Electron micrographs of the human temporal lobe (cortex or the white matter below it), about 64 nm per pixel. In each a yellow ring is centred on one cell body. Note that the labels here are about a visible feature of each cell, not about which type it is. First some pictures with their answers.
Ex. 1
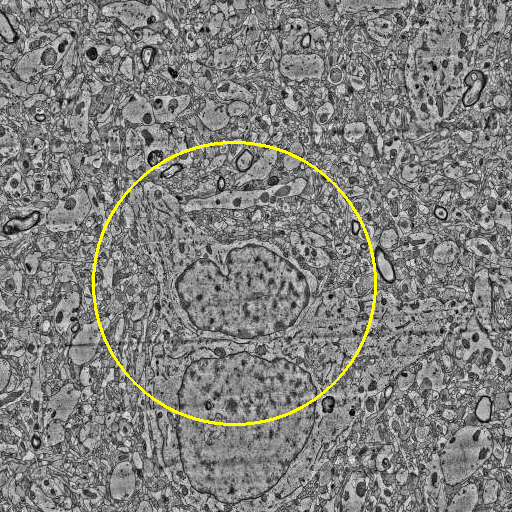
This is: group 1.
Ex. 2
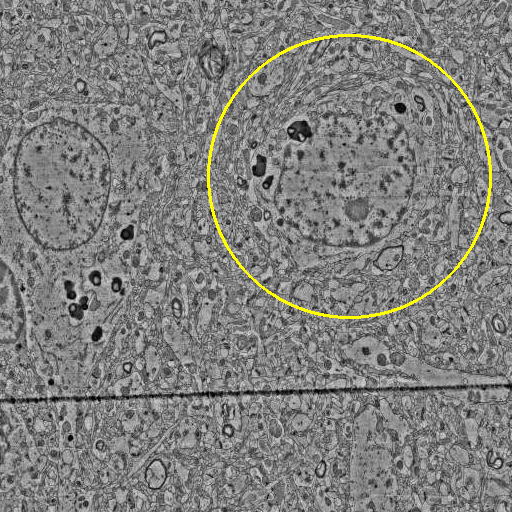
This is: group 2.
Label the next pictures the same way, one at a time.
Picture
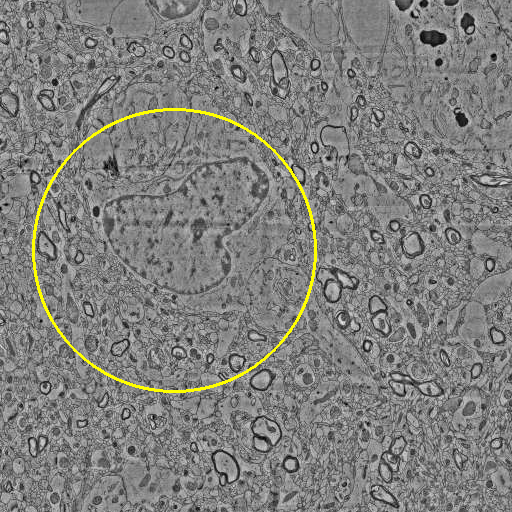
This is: group 1.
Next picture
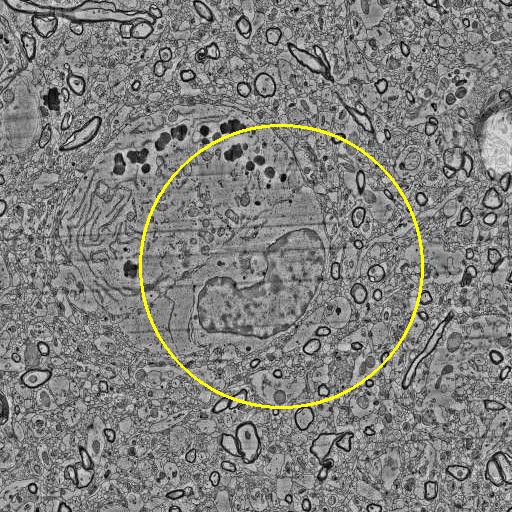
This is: group 1.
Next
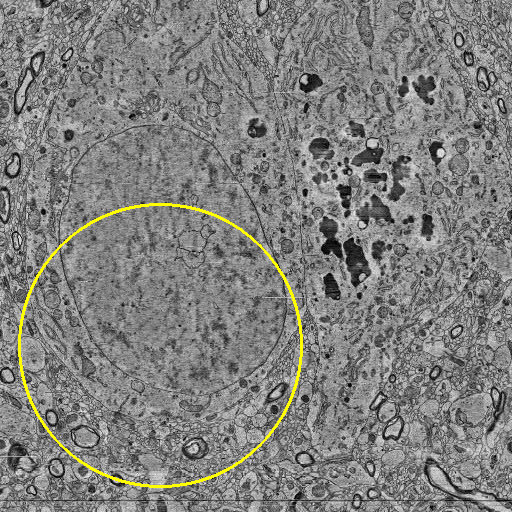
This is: group 2.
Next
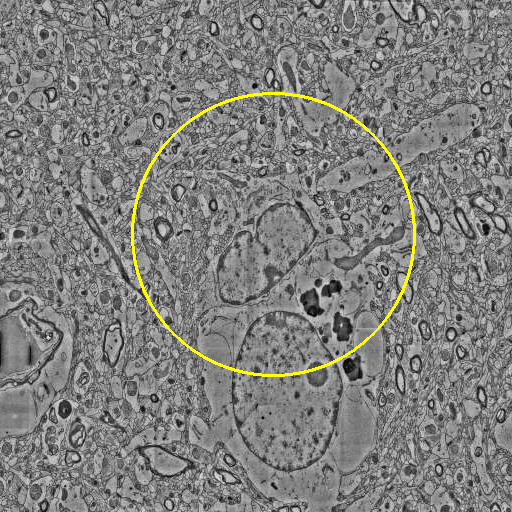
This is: group 1.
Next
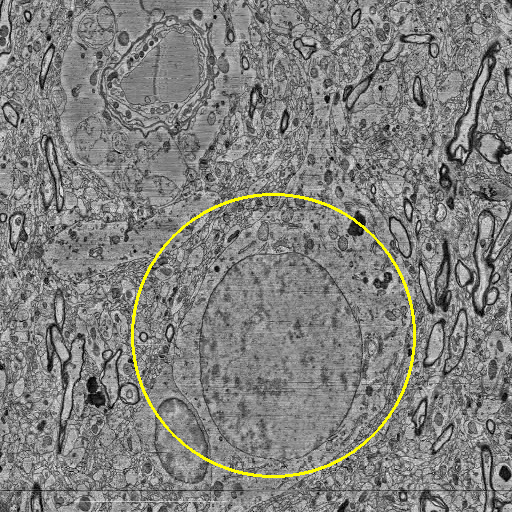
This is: group 2.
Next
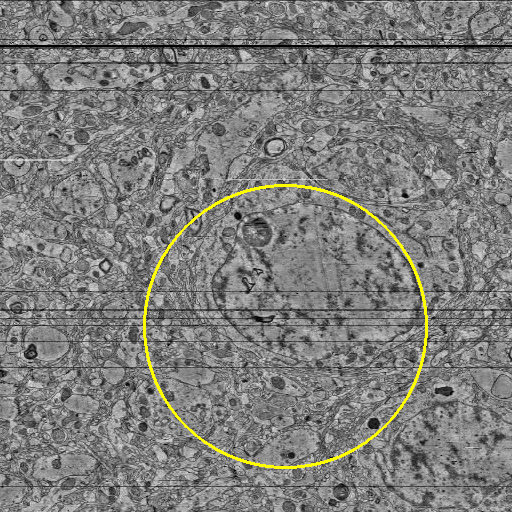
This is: group 1.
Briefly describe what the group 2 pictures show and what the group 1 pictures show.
In group 2: smooth nuclear envelopes without deep folds. In group 1: deeply folded or indented nuclear envelopes.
